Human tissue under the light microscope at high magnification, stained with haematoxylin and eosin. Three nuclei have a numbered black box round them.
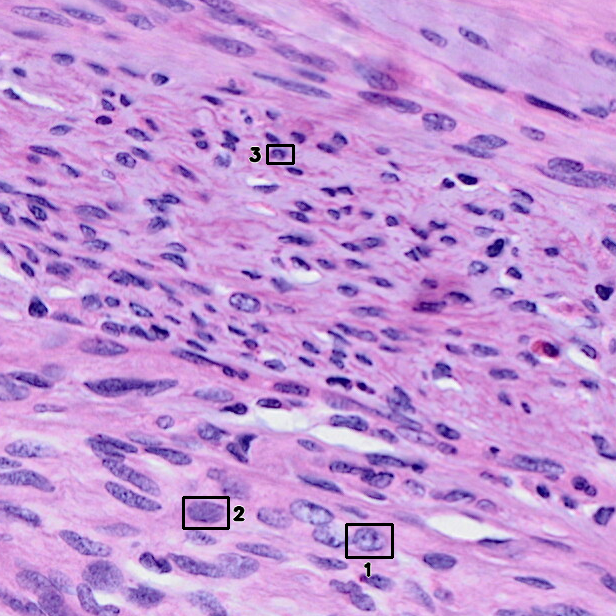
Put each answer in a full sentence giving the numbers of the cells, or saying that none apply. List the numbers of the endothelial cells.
The nucleus labelled 1 alone belongs to an endothelial cell; the other marked nuclei do not.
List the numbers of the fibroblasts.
Of the cells carrying numbers, just cell 2 is a fibroblast.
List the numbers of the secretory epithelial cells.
No numbered cell in this section is one of the secretory epithelial cells.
